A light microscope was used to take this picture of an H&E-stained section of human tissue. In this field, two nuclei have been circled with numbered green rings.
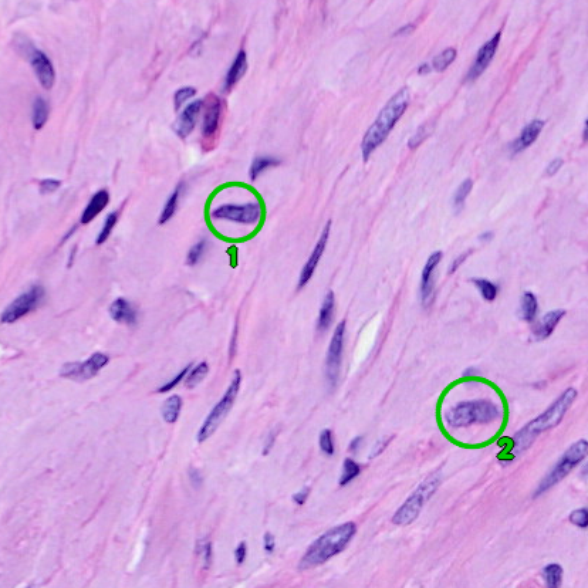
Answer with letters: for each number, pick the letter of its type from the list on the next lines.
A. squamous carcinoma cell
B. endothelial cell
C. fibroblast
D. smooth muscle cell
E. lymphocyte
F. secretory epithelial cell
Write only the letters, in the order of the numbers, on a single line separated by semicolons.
C; D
